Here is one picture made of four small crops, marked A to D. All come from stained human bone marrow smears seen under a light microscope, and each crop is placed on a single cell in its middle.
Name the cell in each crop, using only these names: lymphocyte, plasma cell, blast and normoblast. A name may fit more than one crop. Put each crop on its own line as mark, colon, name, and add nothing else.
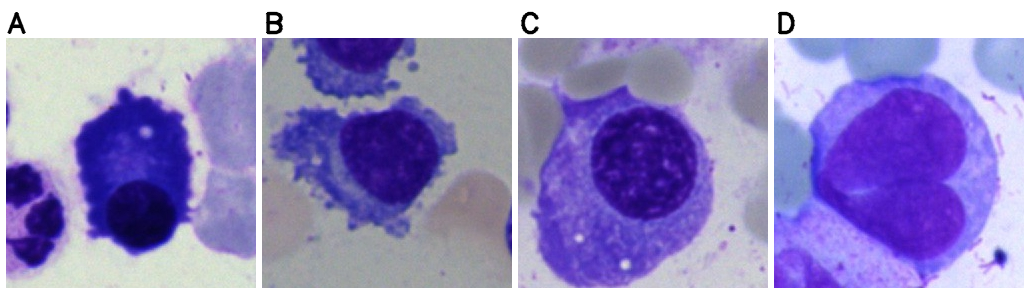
A: plasma cell
B: plasma cell
C: plasma cell
D: blast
